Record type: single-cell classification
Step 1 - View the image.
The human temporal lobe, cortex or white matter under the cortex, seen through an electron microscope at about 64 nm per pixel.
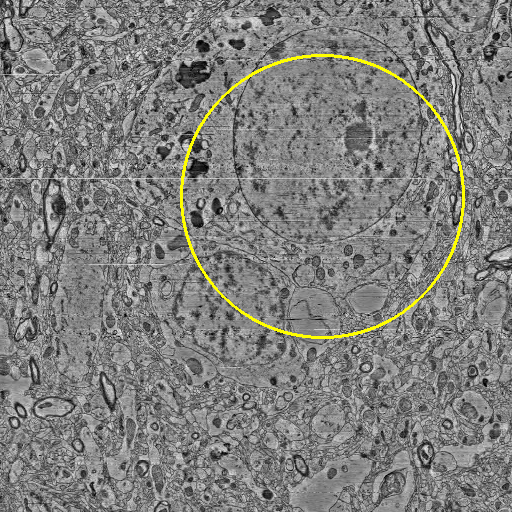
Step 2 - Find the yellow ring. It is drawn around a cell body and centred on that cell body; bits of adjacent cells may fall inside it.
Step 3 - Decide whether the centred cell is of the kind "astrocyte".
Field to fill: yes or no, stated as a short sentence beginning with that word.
No, the centred cell belongs to another kind.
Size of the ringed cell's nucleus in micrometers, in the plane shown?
The nucleus is approximately 15 micrometers long by 12 micrometers wide in this plane.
